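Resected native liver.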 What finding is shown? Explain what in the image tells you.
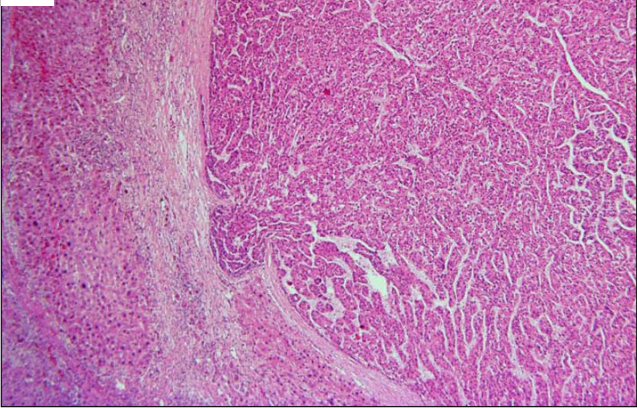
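Hepatocellular carcinoma. A densely cellular nodule of liver-like cells on the right is set off from paler tissue on the left by a band of fibrous tissue. Within the nodule the cells lie in thick cords separated by slit-like spaces.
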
